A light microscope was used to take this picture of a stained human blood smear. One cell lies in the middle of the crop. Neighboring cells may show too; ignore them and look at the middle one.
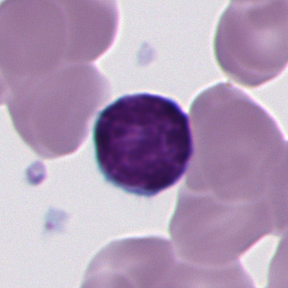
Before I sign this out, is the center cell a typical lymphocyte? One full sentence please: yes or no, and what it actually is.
Yes, that middle cell in the crop is a typical lymphocyte.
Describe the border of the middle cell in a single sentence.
No projections interrupt the outline; it is smooth all the way round.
